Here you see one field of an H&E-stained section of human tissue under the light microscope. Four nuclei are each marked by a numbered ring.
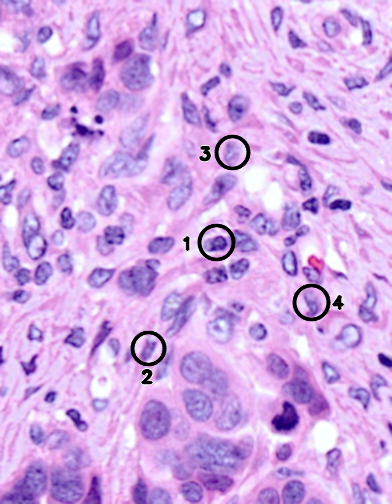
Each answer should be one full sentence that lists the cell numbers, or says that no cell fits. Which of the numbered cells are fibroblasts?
The cells that have numbers 2, 3 and 4 are fibroblasts.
